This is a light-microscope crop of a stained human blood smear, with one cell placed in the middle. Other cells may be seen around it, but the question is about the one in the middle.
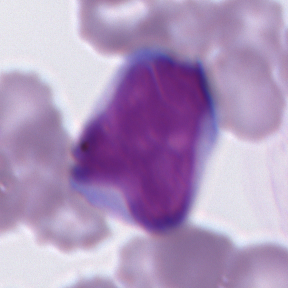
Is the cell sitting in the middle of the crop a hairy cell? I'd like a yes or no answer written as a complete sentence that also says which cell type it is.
No, the middle cell is classified as a myeloblast instead of a hairy cell.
